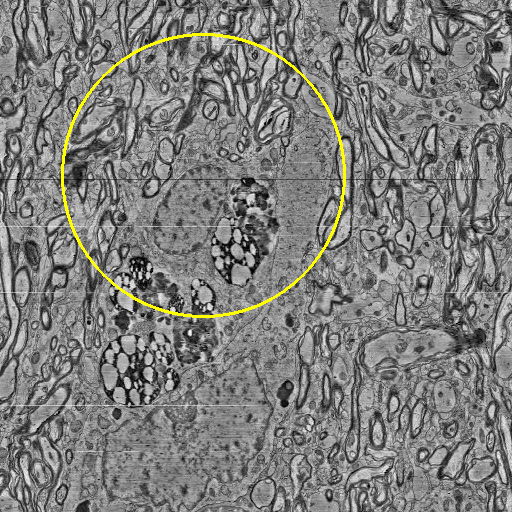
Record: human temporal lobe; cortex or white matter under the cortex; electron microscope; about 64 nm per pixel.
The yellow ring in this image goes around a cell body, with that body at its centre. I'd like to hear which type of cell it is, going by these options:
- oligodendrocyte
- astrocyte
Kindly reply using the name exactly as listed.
astrocyte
